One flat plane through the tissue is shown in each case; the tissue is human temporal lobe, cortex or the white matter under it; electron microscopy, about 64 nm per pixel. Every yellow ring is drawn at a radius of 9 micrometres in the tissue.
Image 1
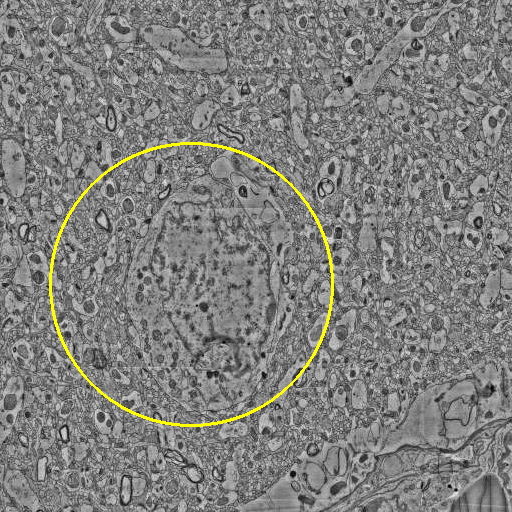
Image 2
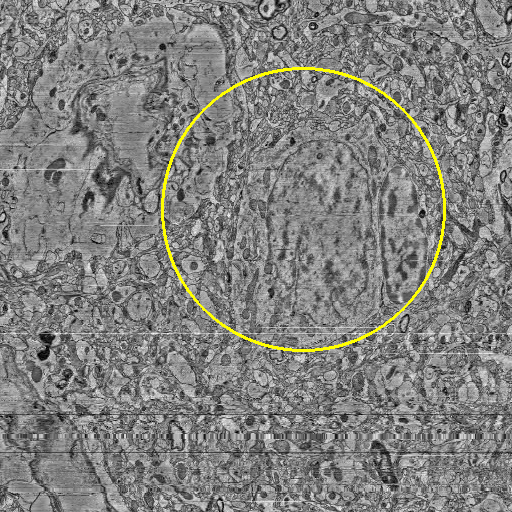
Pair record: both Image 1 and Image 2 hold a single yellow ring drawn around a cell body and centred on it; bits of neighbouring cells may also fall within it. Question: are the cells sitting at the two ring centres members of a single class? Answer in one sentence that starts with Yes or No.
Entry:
Yes, both ring-centre cells in Image 1 and Image 2 are members of one class.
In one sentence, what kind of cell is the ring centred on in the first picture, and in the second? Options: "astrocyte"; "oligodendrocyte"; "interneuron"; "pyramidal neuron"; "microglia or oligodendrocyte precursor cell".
The cell in the first picture is an interneuron, and so is the one in the second.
